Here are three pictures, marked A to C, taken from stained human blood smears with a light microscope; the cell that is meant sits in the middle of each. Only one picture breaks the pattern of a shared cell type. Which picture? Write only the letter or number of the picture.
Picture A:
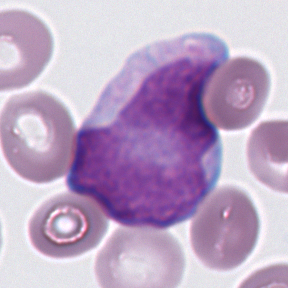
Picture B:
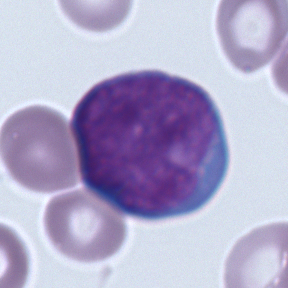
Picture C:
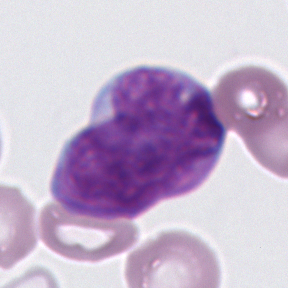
B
